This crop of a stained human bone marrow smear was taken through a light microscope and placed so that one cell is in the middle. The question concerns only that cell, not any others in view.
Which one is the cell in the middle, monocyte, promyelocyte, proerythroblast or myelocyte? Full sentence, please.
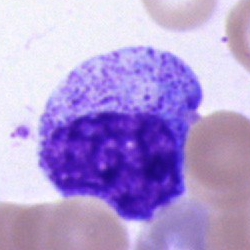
The cell positioned in the middle of the field is a promyelocyte.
